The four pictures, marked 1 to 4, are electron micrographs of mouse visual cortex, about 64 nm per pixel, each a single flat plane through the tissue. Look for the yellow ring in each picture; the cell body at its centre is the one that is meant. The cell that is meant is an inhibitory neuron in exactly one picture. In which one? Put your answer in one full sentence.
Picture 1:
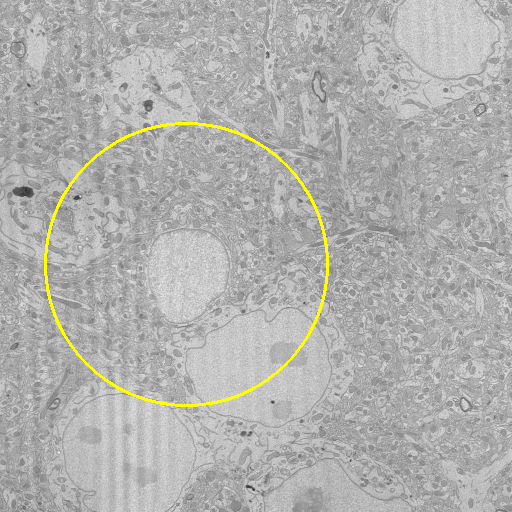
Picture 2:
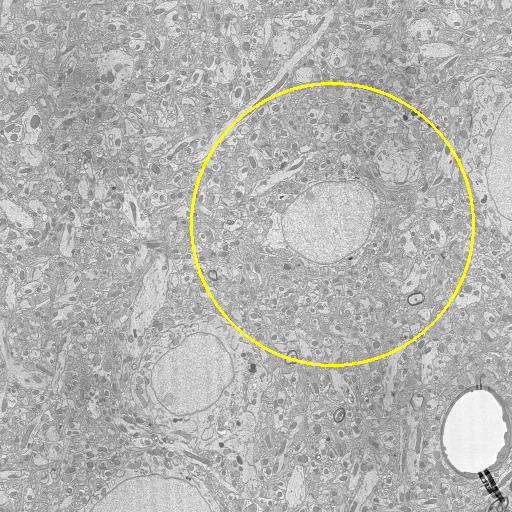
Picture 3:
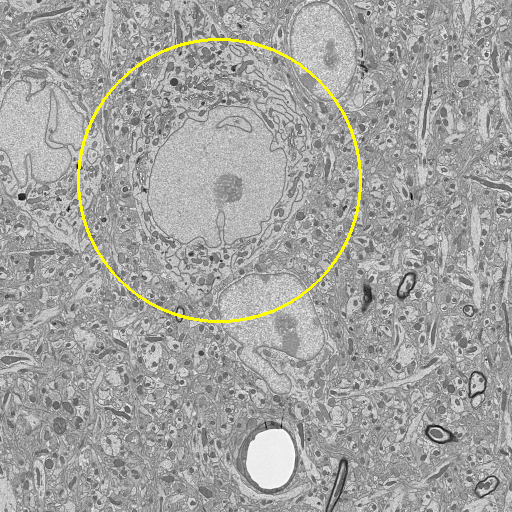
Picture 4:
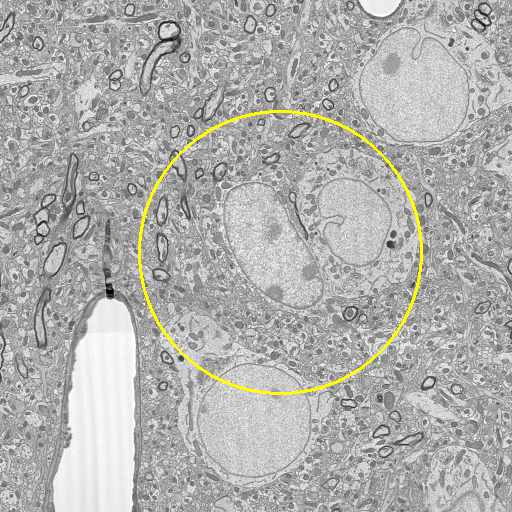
The picture with the inhibitory neuron is 3.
